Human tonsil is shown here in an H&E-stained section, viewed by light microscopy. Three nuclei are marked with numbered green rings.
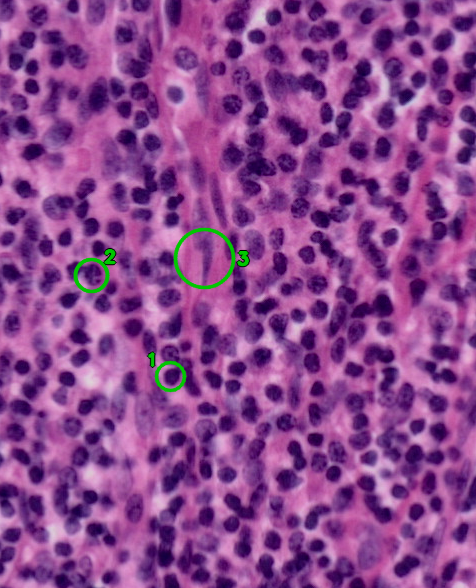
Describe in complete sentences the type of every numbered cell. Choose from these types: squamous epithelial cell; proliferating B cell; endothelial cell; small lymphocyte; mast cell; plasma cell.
Cell 1 is a small lymphocyte. Cell 2 is a plasma cell. Cell 3 is an endothelial cell.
